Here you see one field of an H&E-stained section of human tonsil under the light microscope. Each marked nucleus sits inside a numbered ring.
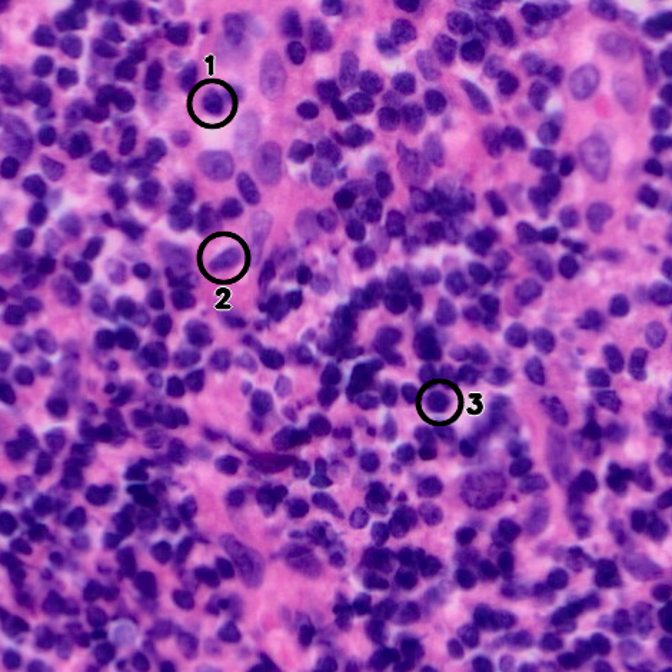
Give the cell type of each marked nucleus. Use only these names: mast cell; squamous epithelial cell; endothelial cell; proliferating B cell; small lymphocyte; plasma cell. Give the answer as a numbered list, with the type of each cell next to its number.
1. endothelial cell
2. endothelial cell
3. small lymphocyte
